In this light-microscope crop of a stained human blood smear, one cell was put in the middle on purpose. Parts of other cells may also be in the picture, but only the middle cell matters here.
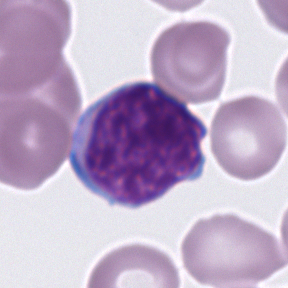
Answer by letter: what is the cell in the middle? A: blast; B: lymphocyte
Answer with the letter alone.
B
